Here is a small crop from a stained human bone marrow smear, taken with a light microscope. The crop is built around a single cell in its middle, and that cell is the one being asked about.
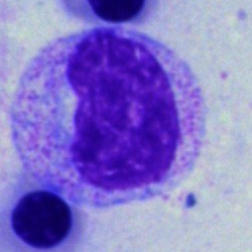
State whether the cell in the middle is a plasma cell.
no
